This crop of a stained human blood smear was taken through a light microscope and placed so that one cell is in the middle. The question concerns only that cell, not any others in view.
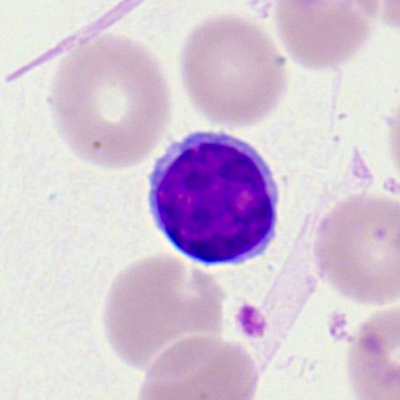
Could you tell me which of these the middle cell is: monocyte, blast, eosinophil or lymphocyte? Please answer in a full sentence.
Positioned in the middle of the crop is a lymphocyte.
